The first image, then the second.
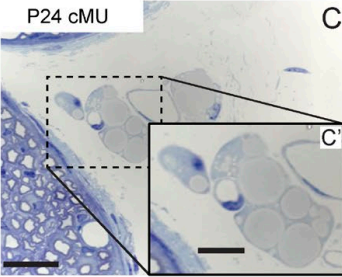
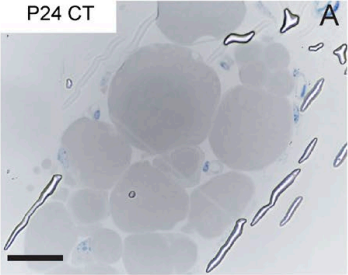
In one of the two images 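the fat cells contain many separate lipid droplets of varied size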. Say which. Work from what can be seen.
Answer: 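Second image: each large cell is filled by one uniform pale globule. First image: the boxed cells hold clusters of several smaller round droplets. So: the first image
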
